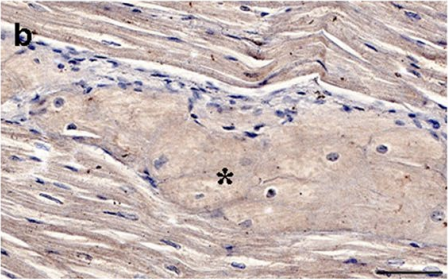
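This is heart muscle in which a band of conduction-system cardiomyocytes runs between ordinary working cardiomyocytes. Above and below, the working fibres are thin, long and parallel, with brown cytoplasm and elongated nuclei. The conduction cells in the middle are much wider and paler, with abundant light-brown cytoplasm and few rounded nuclei. A thin layer of connective tissue with small dark nuclei separates them from the surrounding muscle.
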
